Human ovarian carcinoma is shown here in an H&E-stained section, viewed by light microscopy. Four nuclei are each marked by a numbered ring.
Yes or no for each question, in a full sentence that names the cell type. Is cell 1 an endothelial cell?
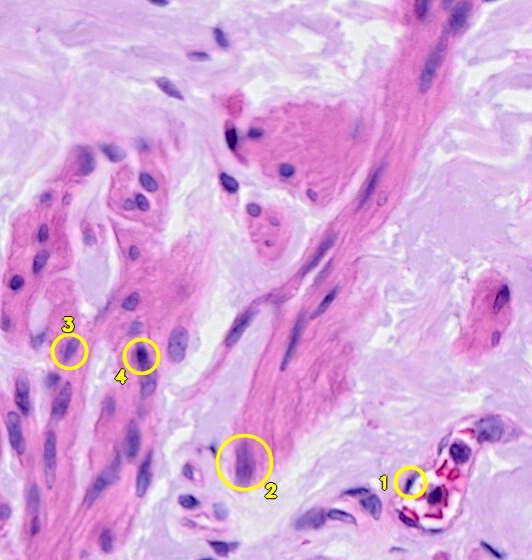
Yes, exactly, the cell numbered 1 is an endothelial cell.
